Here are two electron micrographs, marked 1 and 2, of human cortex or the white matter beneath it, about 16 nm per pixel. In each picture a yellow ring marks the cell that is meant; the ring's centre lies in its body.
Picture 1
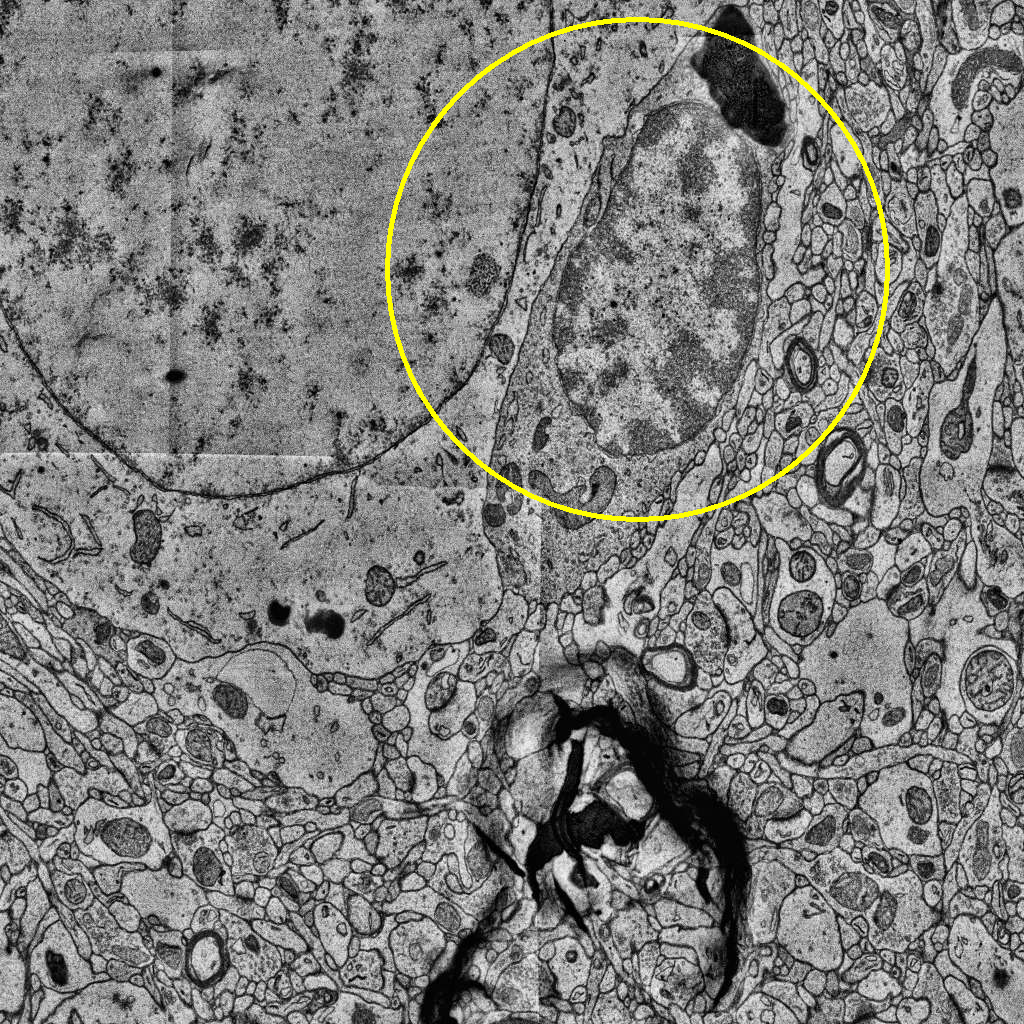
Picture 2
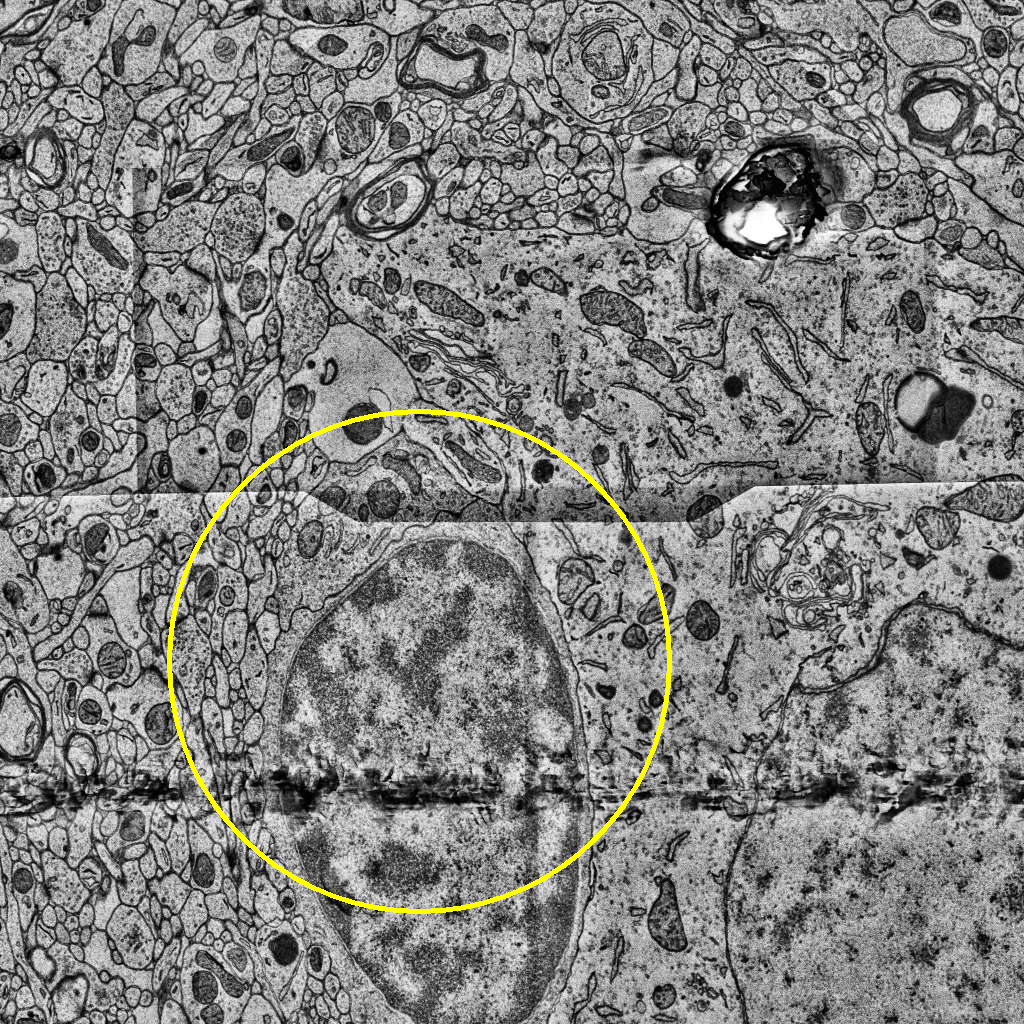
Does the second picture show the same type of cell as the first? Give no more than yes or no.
yes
